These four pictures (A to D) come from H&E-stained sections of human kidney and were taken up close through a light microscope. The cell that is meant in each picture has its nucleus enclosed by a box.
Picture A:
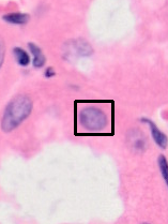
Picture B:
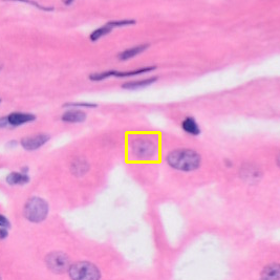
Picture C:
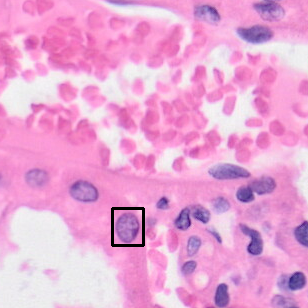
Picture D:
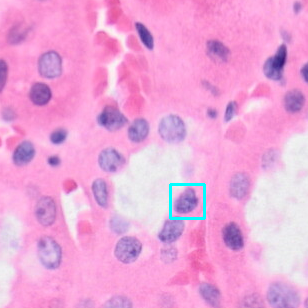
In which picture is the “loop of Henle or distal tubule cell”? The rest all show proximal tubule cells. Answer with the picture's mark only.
D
